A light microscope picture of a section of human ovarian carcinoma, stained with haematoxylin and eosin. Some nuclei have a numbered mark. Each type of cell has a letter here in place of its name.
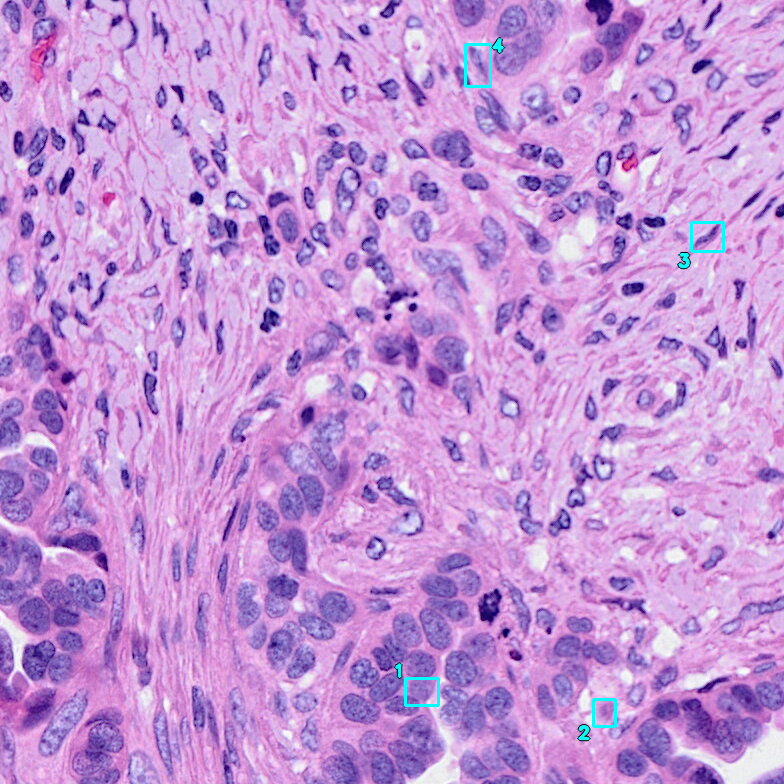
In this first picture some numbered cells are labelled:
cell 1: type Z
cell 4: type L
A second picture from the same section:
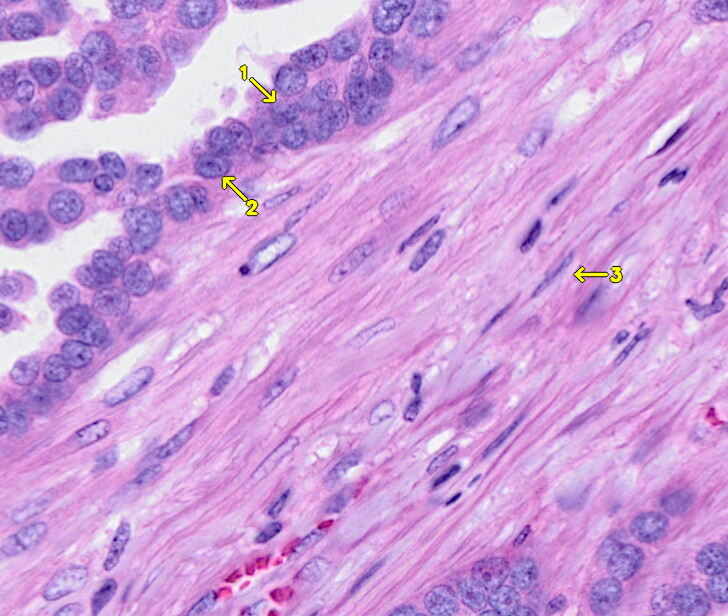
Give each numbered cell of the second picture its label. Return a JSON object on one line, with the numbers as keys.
{"1": "type Z", "2": "type Z", "3": "type L"}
